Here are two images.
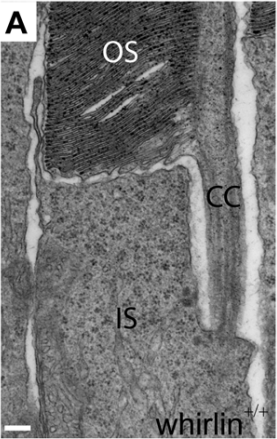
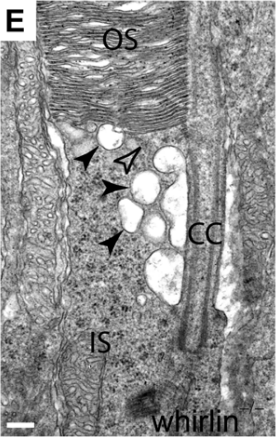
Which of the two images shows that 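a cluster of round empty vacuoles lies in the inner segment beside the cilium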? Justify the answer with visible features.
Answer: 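Second image: many round, pale, membrane-bound spaces crowd the apical inner segment next to the cilium. First image: the apical inner segment cytoplasm is evenly granular with no round empty spaces.
The second image.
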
